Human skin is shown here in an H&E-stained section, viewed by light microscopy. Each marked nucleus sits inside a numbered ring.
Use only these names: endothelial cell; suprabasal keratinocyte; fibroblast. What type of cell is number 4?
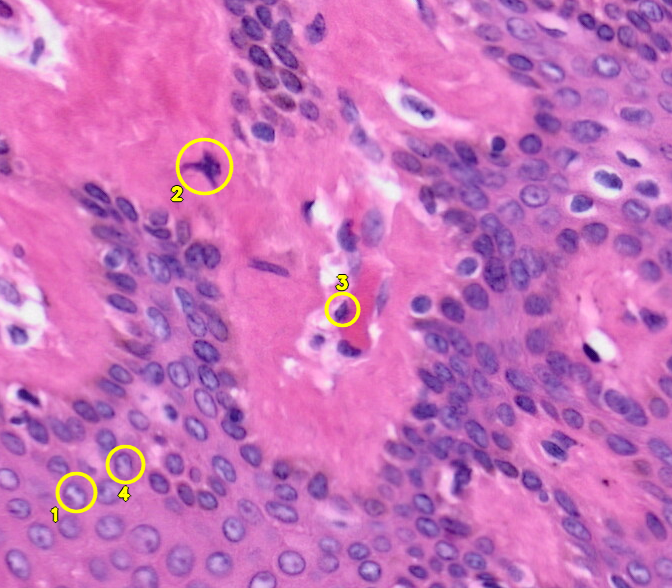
suprabasal keratinocyte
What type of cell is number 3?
endothelial cell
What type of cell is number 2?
fibroblast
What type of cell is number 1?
suprabasal keratinocyte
